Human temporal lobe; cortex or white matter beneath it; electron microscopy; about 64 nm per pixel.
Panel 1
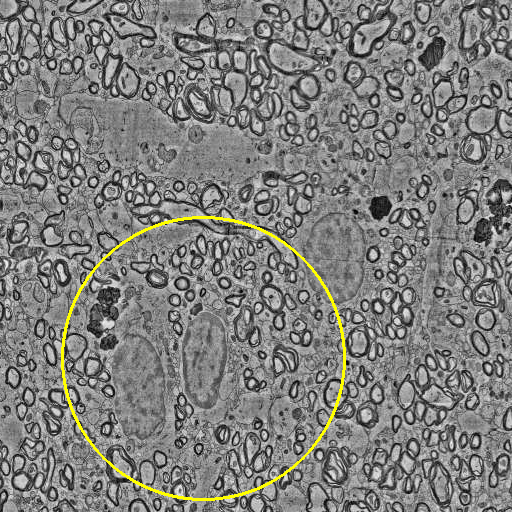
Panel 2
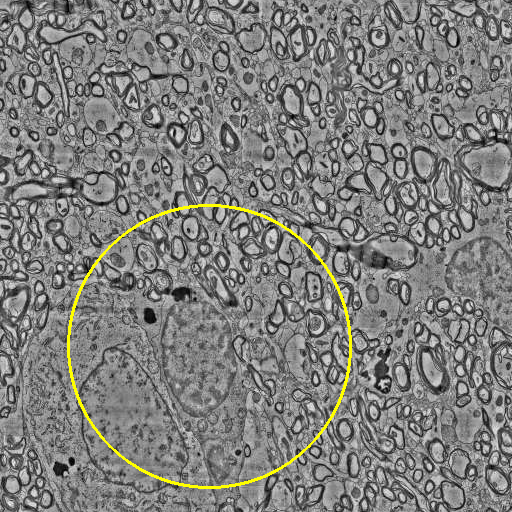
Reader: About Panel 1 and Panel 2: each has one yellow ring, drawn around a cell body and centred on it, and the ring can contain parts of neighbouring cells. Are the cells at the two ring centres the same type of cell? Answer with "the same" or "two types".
two types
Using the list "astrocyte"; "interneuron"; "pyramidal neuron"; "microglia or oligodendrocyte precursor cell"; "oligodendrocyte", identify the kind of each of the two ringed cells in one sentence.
The first is a microglial cell or oligodendrocyte precursor cell and the second is an oligodendrocyte.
